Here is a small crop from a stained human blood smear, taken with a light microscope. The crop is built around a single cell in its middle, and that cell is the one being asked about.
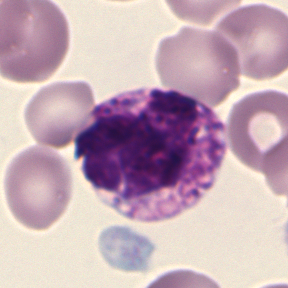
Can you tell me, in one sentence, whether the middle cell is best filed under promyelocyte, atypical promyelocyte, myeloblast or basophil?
Located at the centre of the crop is a basophil.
